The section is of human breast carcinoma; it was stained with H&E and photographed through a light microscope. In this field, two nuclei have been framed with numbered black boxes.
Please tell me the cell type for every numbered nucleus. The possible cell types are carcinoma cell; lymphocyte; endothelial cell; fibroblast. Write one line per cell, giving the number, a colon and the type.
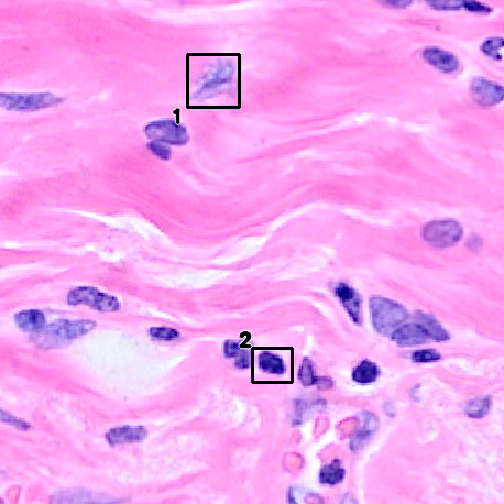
1: fibroblast
2: lymphocyte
